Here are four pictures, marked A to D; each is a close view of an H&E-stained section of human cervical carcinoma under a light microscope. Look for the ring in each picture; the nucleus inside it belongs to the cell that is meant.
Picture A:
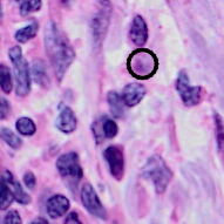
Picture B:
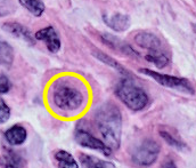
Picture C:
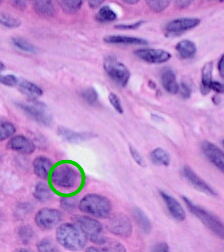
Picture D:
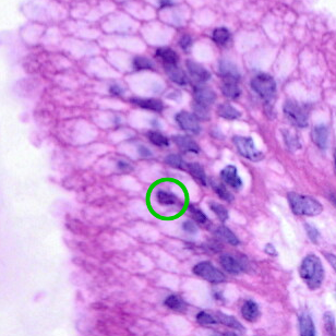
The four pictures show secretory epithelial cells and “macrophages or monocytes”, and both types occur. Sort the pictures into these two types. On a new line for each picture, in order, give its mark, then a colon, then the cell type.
A: macrophage or monocyte
B: macrophage or monocyte
C: secretory epithelial cell
D: secretory epithelial cell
